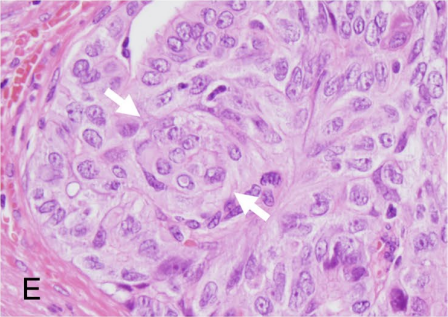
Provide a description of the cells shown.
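Tumor tissue with a solid, whorled nest of epithelial cells beside a fibrous band with red blood cells. The cells in the nest have more abundant pink cytoplasm and oval, vesicular nuclei arranged concentrically, without lumens. Surrounding tumor cells are crowded, with oval nuclei and some darker, larger nuclei.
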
